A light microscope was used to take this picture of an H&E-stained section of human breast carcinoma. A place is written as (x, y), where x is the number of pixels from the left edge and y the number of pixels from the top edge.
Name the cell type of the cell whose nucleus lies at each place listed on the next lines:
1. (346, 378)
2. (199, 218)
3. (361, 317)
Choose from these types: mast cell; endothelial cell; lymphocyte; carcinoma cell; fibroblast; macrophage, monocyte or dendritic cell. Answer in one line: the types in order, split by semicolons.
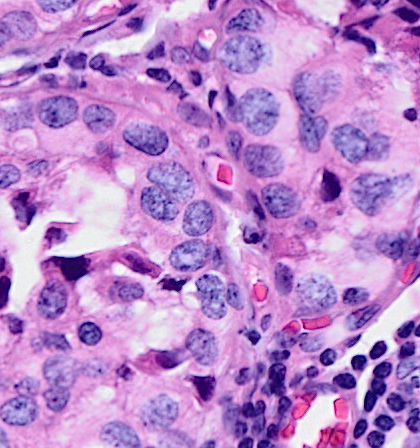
lymphocyte; carcinoma cell; endothelial cell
